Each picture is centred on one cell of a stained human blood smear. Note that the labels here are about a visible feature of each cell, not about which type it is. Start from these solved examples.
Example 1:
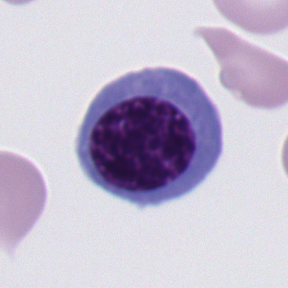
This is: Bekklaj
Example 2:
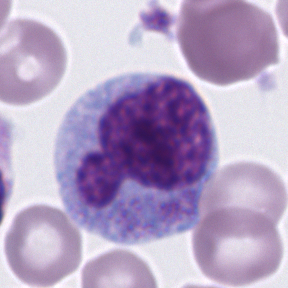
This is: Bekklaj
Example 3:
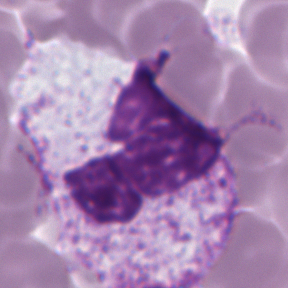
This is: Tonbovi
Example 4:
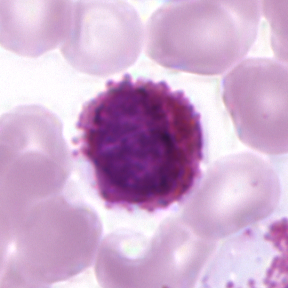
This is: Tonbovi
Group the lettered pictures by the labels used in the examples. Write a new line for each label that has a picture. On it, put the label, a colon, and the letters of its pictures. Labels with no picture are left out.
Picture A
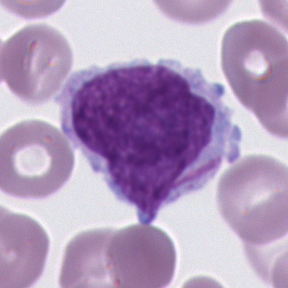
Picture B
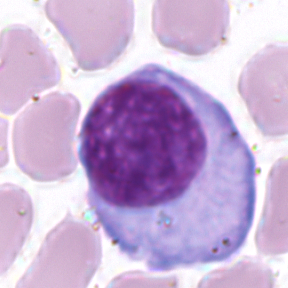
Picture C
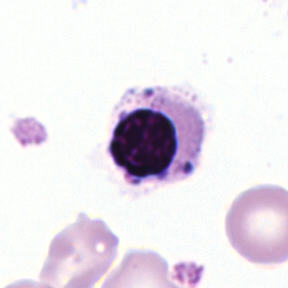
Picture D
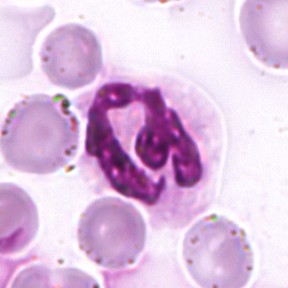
Bekklaj: B, D
Tonbovi: A, C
